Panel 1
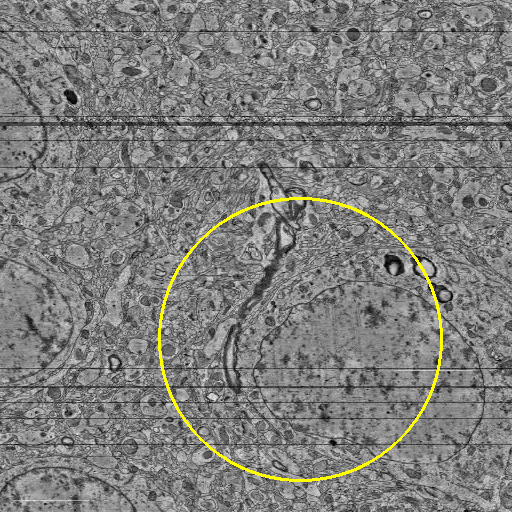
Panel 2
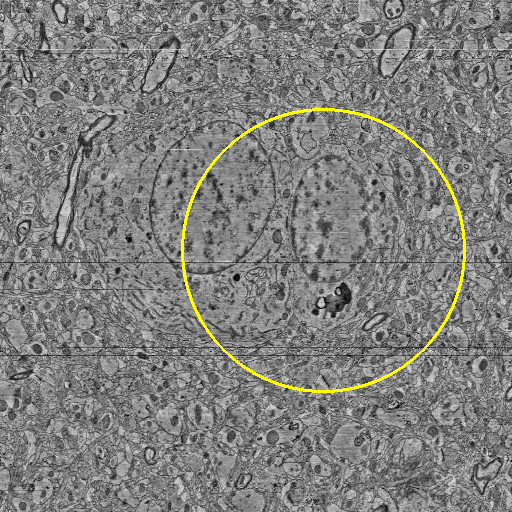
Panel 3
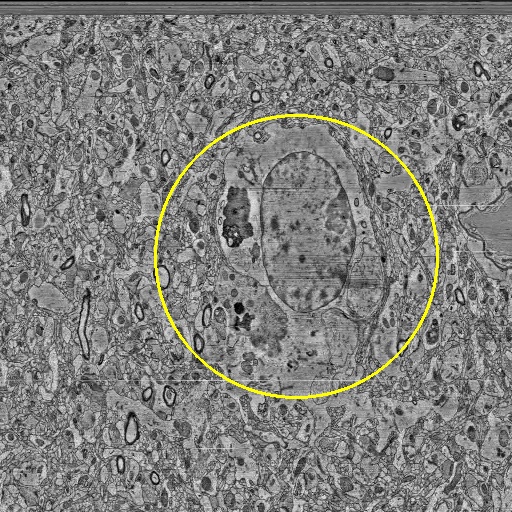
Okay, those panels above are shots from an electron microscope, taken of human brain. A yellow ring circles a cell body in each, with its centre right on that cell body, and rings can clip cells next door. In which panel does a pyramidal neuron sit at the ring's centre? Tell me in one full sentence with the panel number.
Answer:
The cell you asked for sits at the ring's centre in panel 1.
